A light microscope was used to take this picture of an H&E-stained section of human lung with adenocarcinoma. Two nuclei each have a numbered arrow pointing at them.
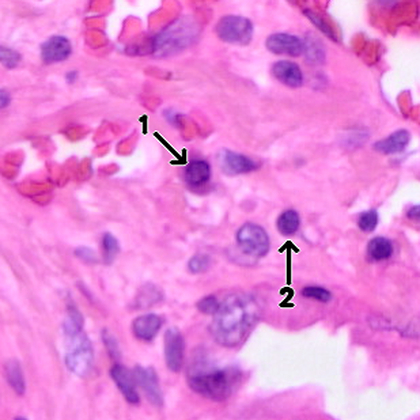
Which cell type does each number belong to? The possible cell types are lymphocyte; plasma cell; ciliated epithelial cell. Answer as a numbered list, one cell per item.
1. plasma cell
2. lymphocyte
